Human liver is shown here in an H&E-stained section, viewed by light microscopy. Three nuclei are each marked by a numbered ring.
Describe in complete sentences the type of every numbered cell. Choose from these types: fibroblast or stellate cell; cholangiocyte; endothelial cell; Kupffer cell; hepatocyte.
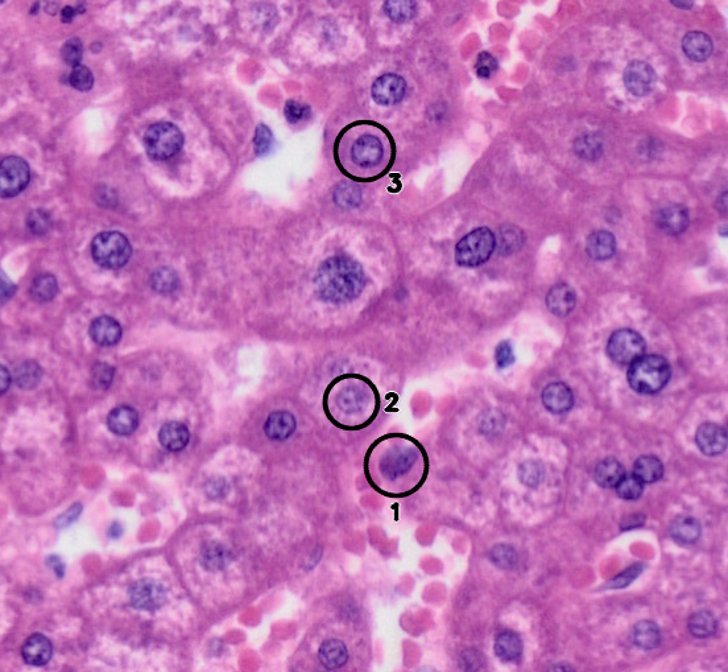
Cell 1 is an endothelial cell, cell 2 is a hepatocyte and cell 3 is a hepatocyte.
